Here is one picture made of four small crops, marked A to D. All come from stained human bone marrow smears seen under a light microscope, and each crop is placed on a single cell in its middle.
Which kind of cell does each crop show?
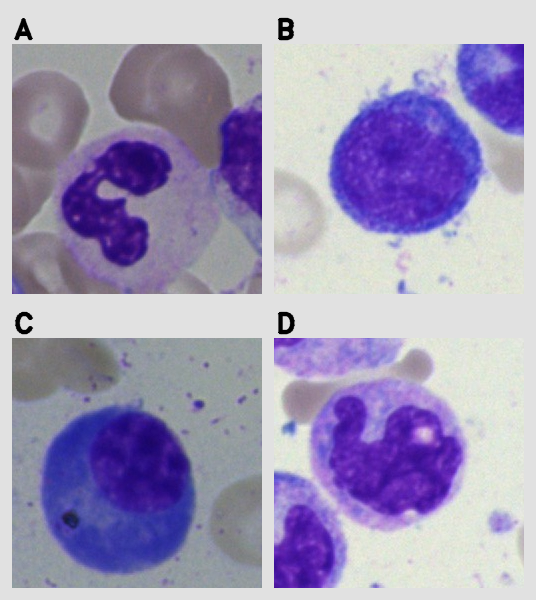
A: segmented neutrophil
B: blast
C: plasma cell
D: monocyte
